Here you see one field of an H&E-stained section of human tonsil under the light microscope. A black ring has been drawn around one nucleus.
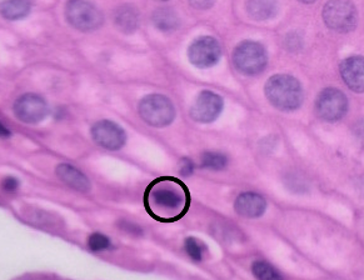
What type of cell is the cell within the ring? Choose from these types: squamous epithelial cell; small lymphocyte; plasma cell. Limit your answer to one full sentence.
Typologically, the cell within the ring is a squamous epithelial cell in this section.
